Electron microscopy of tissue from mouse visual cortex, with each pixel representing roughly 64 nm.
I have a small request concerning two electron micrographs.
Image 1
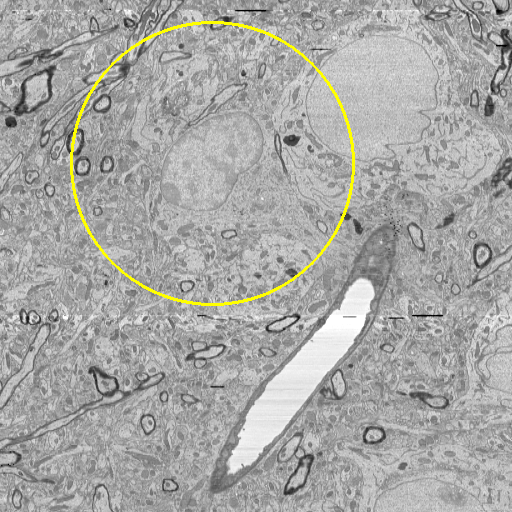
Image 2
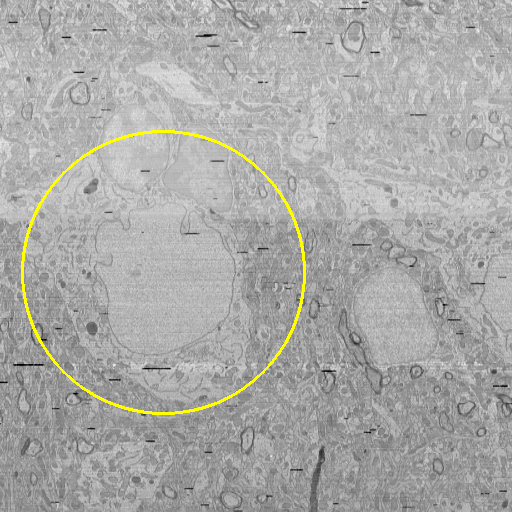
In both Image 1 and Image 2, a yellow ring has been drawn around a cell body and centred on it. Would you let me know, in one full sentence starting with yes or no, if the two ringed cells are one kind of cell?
No, the cells ringed in Image 1 and Image 2 are two kinds of cell.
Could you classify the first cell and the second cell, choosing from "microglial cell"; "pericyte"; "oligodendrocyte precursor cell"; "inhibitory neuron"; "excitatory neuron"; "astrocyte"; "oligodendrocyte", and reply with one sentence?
The second cell is an excitatory neuron, while the first is an oligodendrocyte.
